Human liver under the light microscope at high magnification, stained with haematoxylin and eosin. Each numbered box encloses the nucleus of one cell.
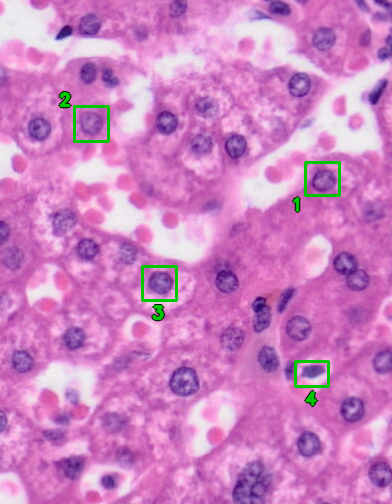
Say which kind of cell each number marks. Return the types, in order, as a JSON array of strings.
["hepatocyte", "hepatocyte", "hepatocyte", "lymphocyte"]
